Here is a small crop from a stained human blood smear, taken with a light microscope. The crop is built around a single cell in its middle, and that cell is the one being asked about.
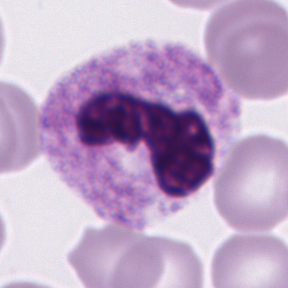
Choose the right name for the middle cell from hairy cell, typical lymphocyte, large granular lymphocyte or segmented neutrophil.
segmented neutrophil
